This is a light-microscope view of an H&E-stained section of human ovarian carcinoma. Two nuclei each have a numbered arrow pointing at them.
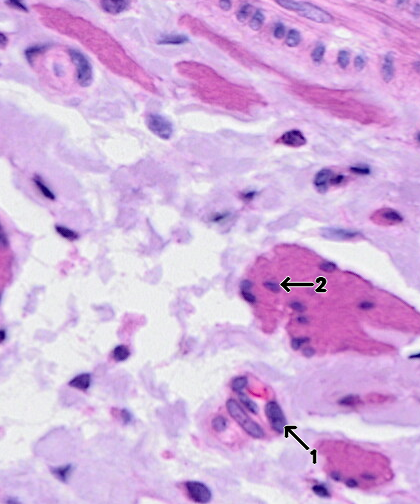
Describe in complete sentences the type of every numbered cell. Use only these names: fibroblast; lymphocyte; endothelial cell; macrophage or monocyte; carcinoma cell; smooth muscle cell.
Cell 1 is an endothelial cell and cell 2 is a smooth muscle cell.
